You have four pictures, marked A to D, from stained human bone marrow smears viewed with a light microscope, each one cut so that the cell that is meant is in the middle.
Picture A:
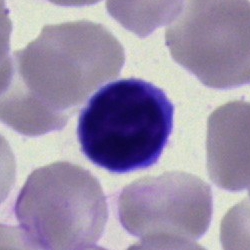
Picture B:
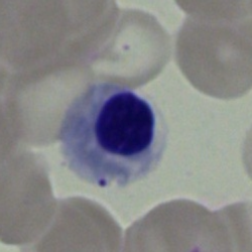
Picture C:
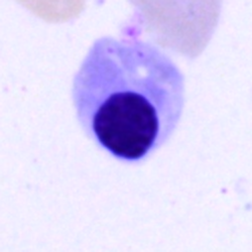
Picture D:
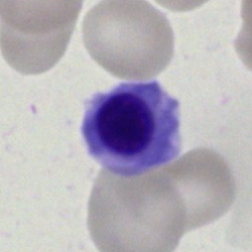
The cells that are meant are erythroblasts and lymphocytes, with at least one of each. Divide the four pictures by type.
A: lymphocyte
B: erythroblast
C: erythroblast
D: erythroblast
